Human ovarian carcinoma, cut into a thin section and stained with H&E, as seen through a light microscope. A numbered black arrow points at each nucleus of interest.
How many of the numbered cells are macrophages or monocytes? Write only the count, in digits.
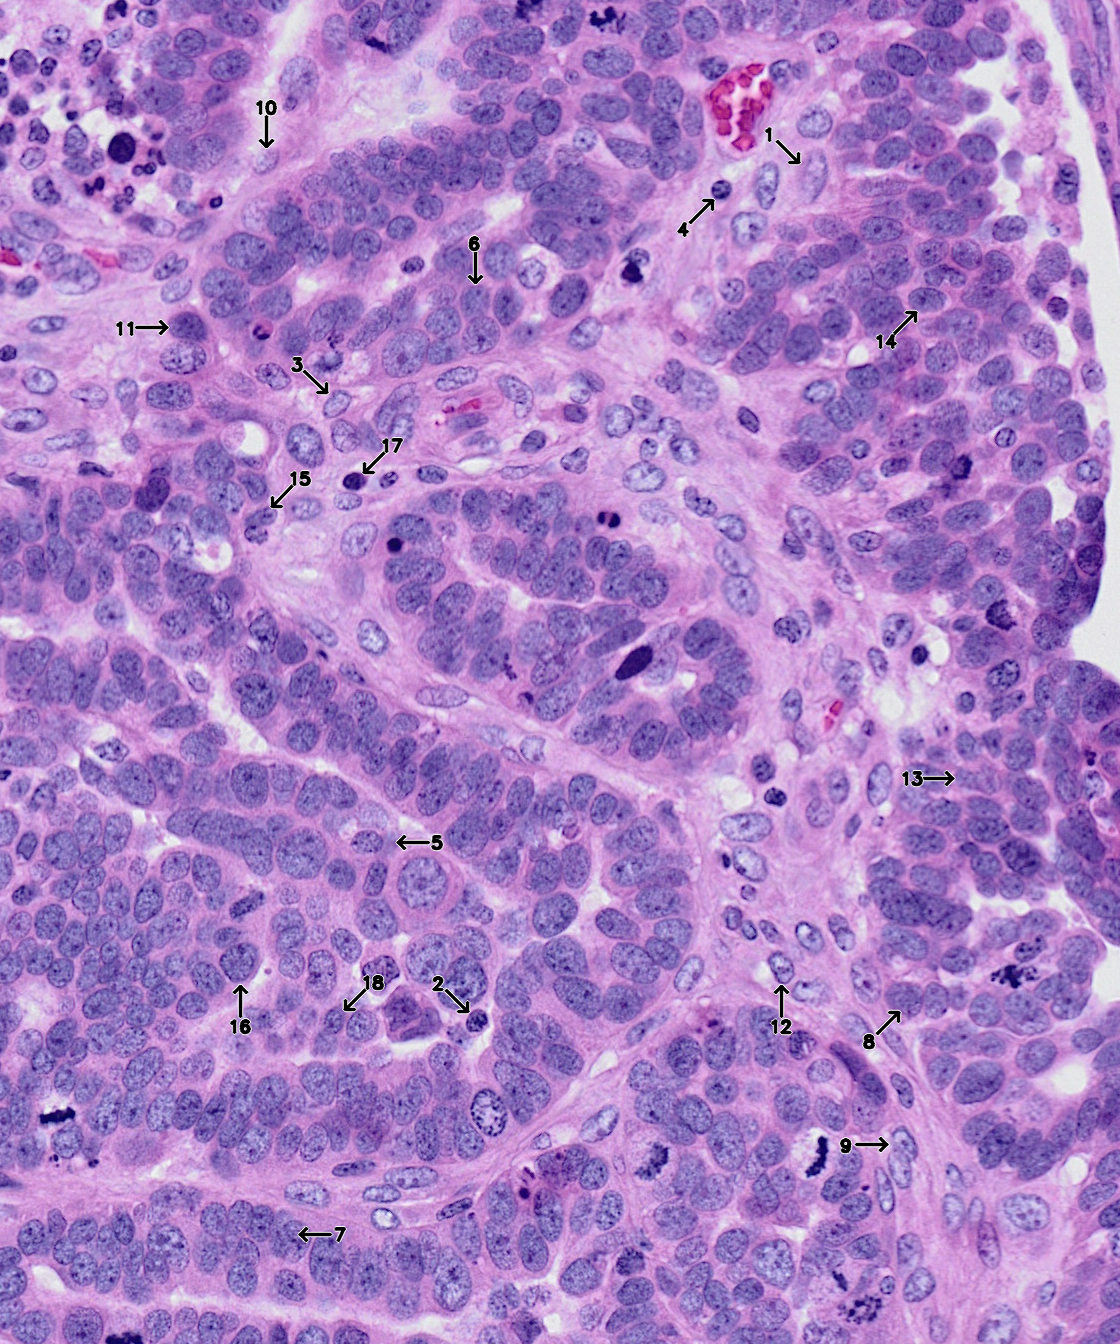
1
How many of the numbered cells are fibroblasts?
5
